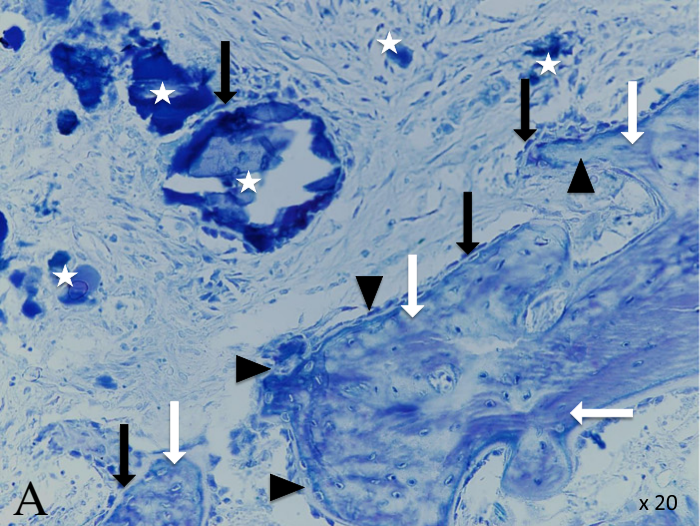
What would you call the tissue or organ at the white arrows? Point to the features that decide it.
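Broad, pale blue, solid matrix with small lacunae containing cells. Lamellar streaks run through the matrix. The answer: bone.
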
